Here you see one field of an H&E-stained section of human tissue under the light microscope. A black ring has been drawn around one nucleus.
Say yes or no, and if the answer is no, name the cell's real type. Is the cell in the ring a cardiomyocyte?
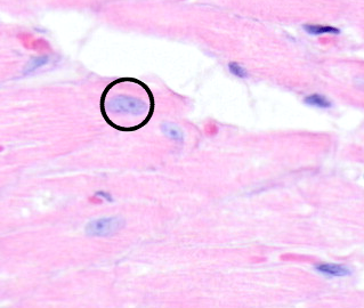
Yes.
